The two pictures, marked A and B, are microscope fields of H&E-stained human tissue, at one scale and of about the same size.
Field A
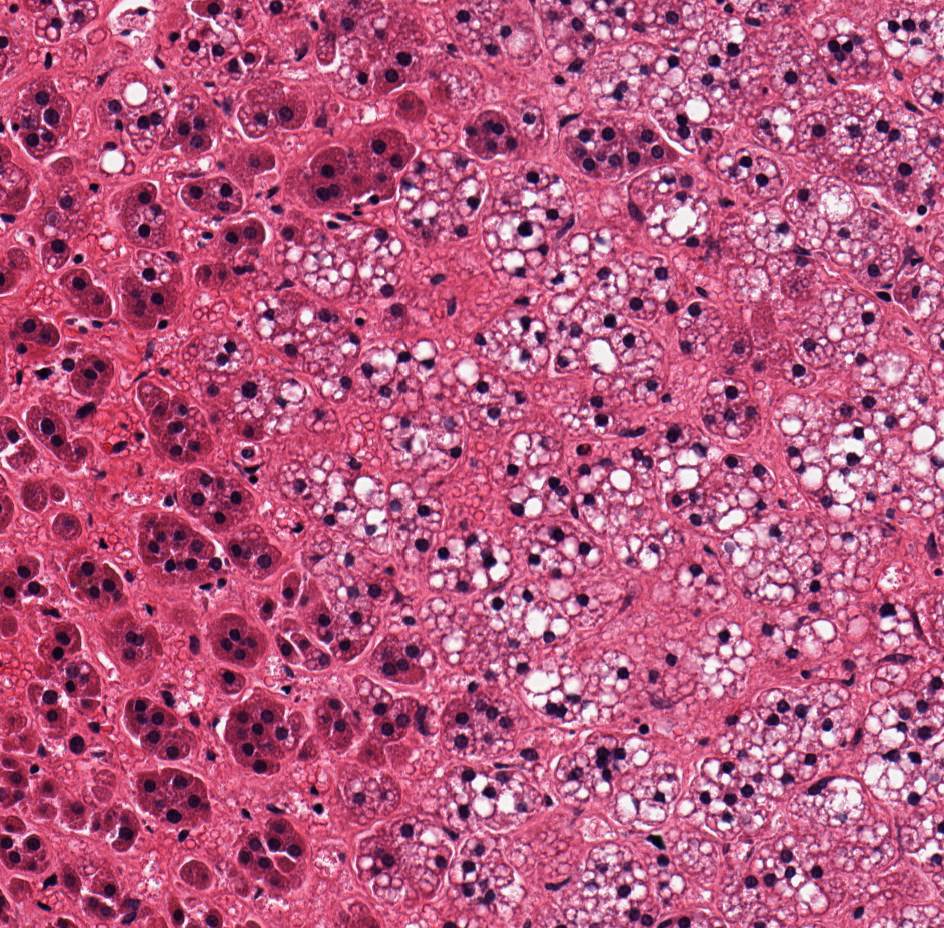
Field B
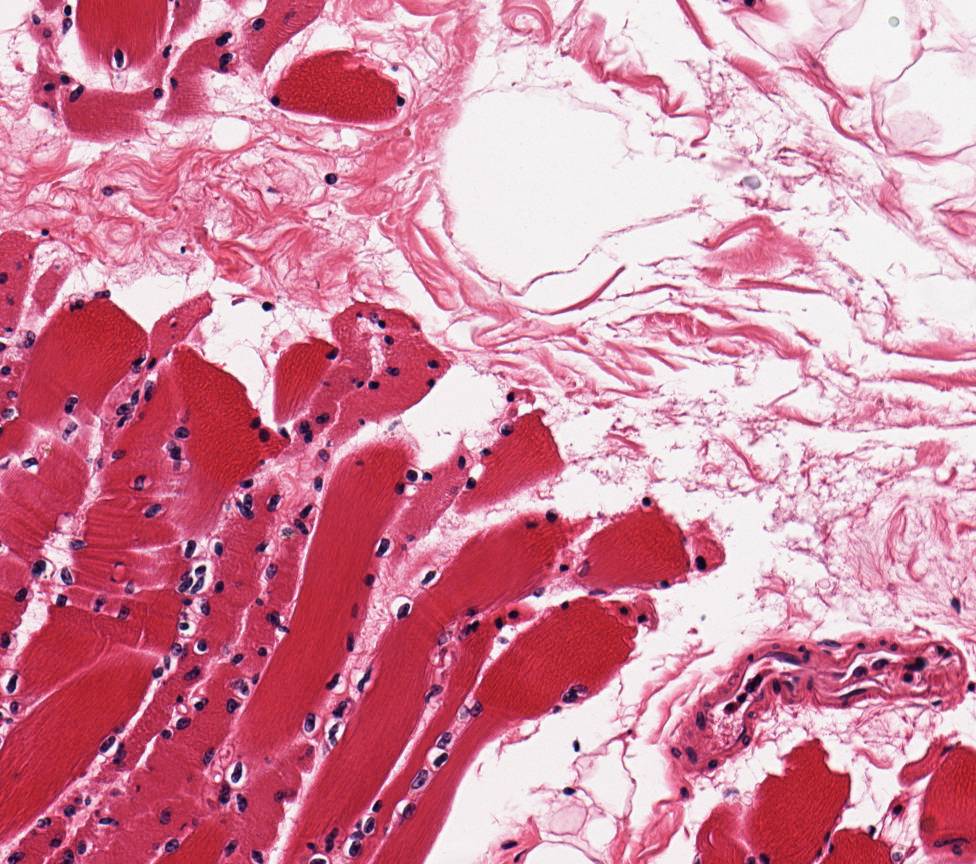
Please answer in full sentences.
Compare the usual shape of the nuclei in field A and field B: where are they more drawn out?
The nuclei are more elongated in field B.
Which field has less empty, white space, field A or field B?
It is field A that stained tissue fills more completely.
